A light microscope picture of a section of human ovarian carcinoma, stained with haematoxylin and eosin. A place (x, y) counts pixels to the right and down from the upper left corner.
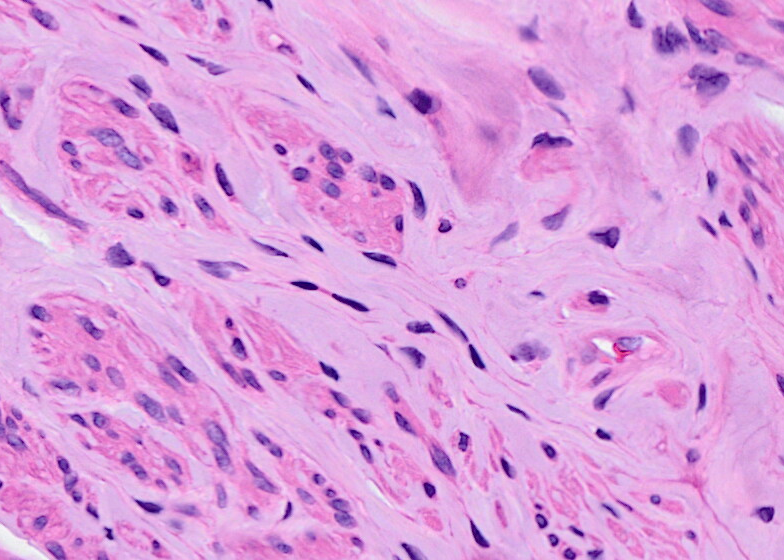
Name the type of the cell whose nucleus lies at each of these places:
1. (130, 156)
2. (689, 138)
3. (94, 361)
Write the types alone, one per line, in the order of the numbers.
smooth muscle cell
fibroblast
smooth muscle cell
